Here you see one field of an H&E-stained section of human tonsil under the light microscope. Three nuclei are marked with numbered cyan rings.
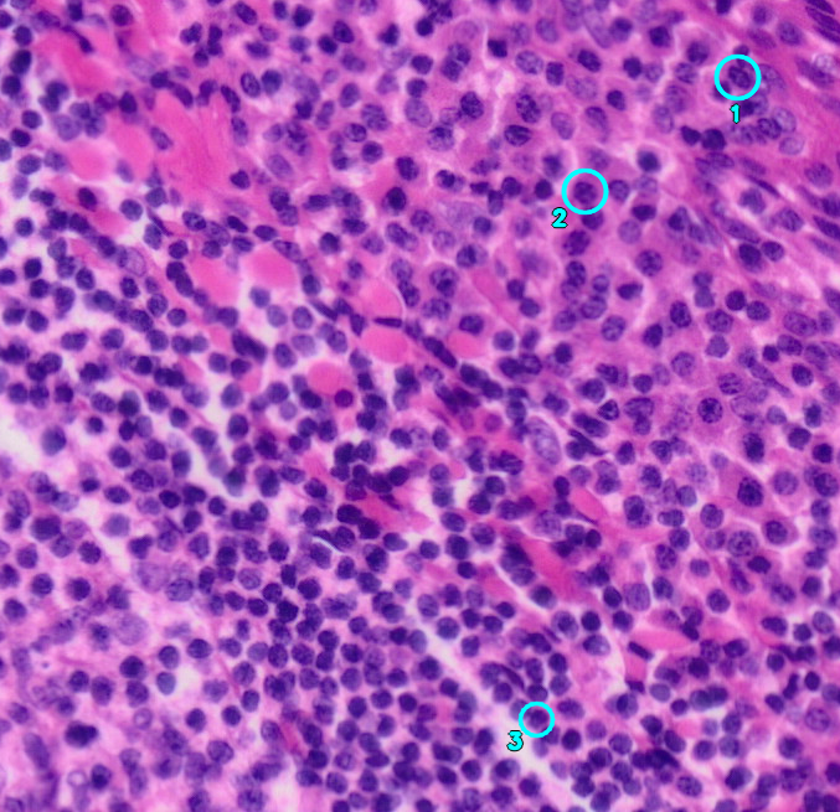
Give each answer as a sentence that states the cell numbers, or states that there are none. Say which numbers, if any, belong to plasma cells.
The cells marked with the numbers 1 and 2 are plasma cells.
